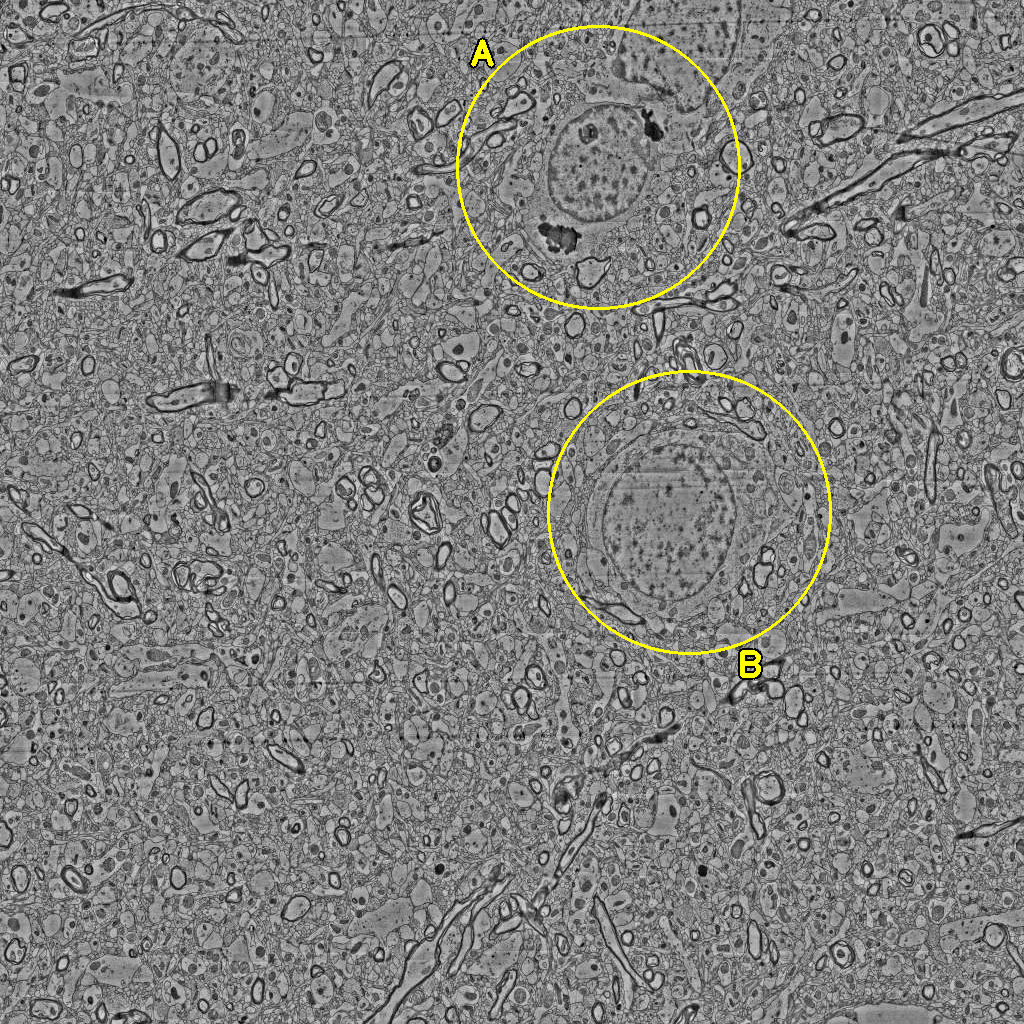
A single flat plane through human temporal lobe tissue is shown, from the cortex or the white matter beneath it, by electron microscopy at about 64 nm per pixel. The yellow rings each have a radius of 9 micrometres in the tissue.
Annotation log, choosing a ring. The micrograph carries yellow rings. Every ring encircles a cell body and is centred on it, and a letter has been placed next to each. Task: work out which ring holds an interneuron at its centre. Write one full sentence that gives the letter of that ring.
In the micrograph, the ring centred on the cell asked for carries the letter B.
